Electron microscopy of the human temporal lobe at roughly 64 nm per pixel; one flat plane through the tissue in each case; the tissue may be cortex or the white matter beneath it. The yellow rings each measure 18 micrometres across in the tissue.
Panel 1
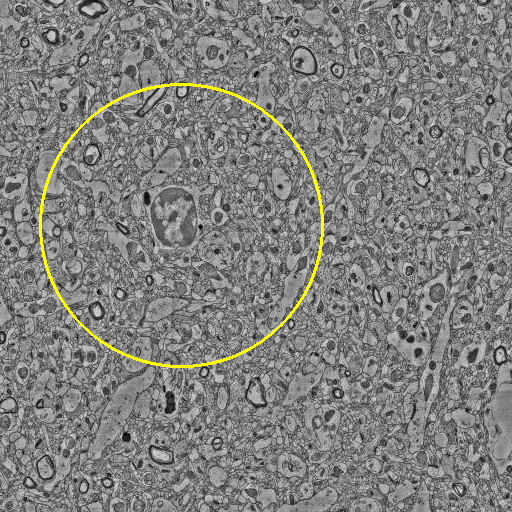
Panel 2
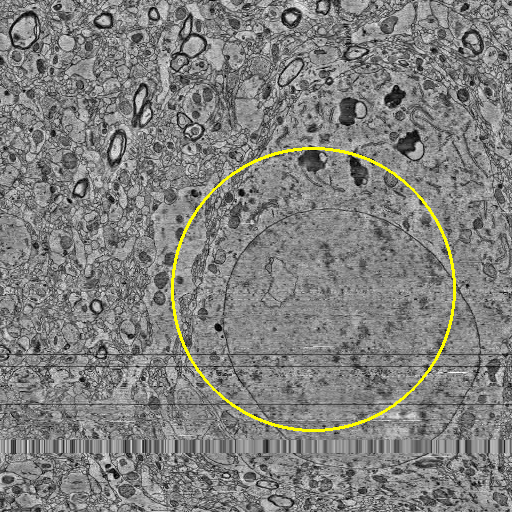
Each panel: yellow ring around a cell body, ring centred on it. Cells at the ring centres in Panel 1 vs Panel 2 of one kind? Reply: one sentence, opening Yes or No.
No, Panel 1 and Panel 2 have cells of two kinds at the ring centres.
